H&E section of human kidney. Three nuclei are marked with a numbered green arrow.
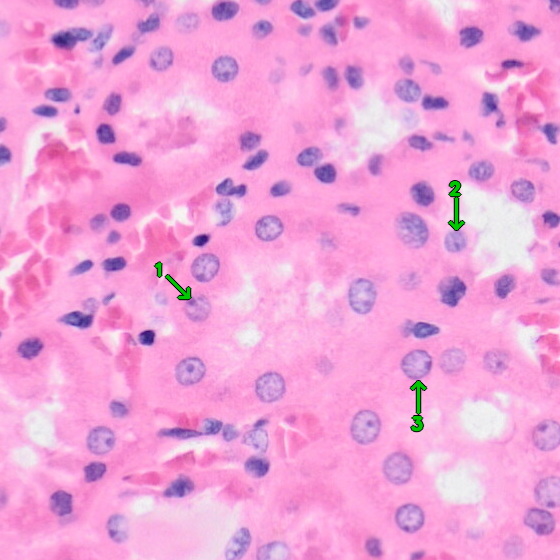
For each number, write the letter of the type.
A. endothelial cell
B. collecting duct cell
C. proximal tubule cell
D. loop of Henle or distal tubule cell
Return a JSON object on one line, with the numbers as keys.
{"1": "C", "2": "D", "3": "C"}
